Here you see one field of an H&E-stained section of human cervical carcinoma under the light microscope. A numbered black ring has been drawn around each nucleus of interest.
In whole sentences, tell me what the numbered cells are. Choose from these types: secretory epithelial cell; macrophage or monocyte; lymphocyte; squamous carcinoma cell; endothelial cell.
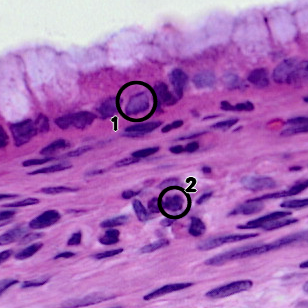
Cell 1 is a secretory epithelial cell and cell 2 is a lymphocyte.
